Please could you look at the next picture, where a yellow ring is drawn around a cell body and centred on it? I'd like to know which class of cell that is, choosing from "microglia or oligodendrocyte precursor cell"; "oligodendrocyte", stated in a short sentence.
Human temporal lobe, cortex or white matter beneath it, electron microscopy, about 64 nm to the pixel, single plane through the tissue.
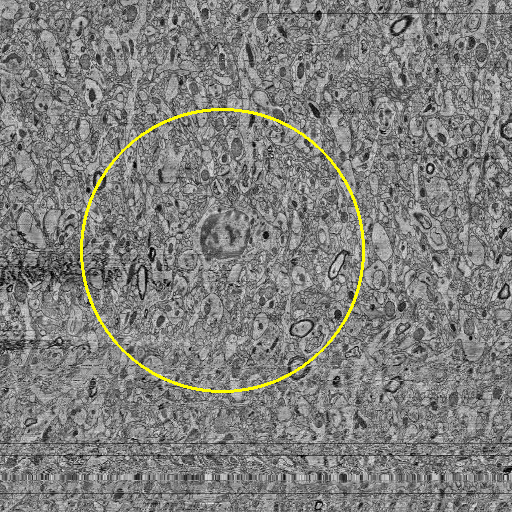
The ring's centre lies on a microglial cell or oligodendrocyte precursor cell.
